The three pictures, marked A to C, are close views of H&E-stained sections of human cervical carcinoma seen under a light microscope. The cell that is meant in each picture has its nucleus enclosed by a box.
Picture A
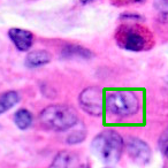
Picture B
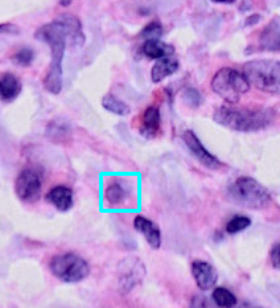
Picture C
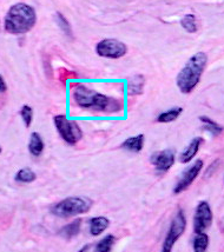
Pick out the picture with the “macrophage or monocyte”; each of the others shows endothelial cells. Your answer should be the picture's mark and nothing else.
B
